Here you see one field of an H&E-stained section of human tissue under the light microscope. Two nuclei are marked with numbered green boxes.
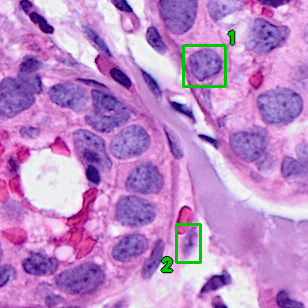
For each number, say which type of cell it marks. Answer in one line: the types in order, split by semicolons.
carcinoma cell; endothelial cell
